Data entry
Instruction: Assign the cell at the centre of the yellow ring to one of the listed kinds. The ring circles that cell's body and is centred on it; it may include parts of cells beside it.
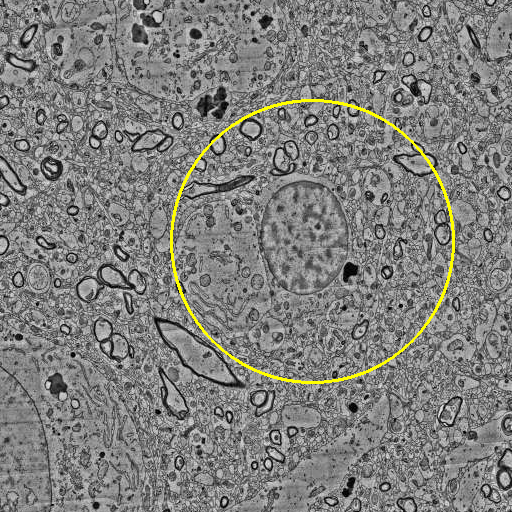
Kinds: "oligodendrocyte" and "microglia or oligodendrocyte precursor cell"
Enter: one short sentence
The centre of the ring falls on an oligodendrocyte.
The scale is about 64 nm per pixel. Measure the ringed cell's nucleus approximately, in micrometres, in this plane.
About 7 by 6 micrometres in this plane.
